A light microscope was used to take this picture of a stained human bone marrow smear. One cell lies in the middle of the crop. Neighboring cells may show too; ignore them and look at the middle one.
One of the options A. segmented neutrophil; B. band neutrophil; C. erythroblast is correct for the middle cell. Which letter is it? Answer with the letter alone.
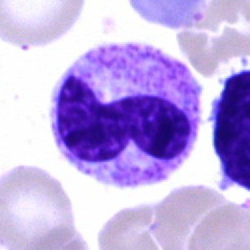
B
